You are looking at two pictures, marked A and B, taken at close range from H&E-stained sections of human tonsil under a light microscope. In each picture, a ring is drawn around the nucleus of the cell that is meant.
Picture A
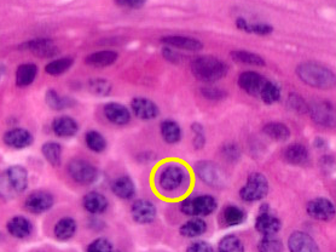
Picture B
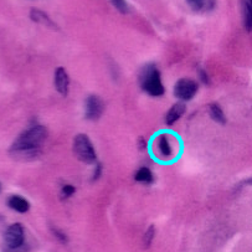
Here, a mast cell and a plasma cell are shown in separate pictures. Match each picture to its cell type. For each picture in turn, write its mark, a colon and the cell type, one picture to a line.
A: plasma cell
B: mast cell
